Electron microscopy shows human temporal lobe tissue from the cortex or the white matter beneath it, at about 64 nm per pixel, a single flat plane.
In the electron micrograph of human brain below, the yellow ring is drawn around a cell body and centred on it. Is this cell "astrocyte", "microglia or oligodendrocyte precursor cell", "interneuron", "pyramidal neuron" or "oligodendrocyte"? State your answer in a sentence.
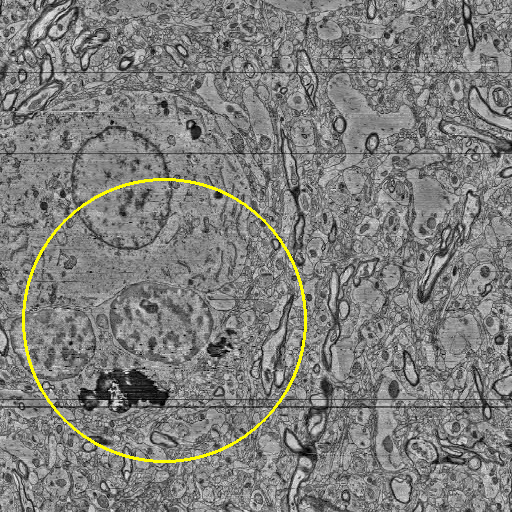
The cell in the middle of the ring is an oligodendrocyte.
